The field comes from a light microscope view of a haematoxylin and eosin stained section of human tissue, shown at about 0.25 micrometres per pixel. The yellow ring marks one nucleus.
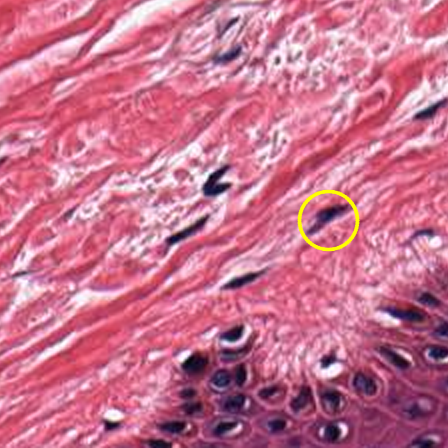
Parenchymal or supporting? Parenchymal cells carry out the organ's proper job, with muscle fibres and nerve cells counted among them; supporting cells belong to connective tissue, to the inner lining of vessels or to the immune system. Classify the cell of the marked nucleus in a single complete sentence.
In the section shown, the marked nucleus belongs to a supporting cell.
